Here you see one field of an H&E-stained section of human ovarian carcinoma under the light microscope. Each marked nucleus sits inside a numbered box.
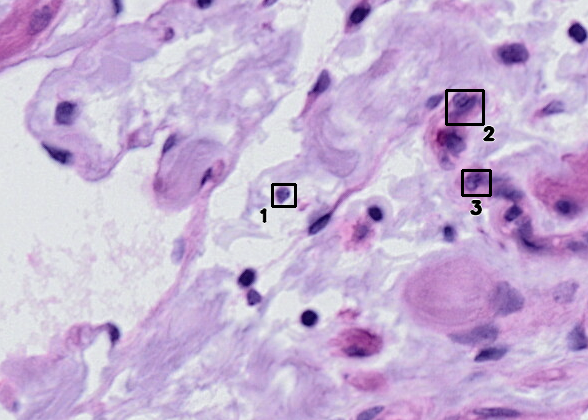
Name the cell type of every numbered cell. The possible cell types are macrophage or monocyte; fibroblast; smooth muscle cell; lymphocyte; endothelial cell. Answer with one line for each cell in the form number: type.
1: lymphocyte
2: endothelial cell
3: endothelial cell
